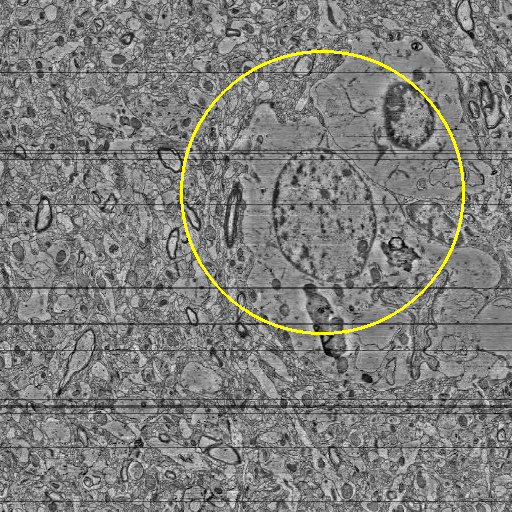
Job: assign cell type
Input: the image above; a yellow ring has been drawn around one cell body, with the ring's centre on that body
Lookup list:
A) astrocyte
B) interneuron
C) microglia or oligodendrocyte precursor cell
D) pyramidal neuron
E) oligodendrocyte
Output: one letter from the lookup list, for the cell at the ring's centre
A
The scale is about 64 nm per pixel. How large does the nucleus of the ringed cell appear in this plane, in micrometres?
Approximately 9 by 6 micrometers in this plane.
